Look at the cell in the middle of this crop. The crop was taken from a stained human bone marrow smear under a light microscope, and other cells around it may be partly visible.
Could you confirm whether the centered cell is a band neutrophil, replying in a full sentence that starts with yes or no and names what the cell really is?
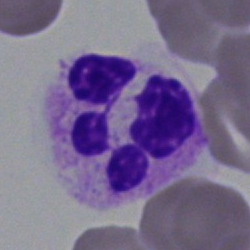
No, a band neutrophil is not what the central cell is; it is a segmented neutrophil.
